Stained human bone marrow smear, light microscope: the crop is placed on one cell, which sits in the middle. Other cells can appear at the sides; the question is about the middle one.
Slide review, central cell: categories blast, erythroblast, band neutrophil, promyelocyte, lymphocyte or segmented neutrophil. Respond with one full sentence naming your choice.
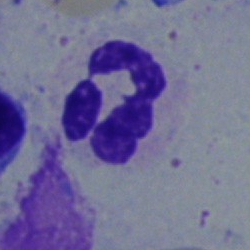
The central element of this crop is a cell, namely a segmented neutrophil.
